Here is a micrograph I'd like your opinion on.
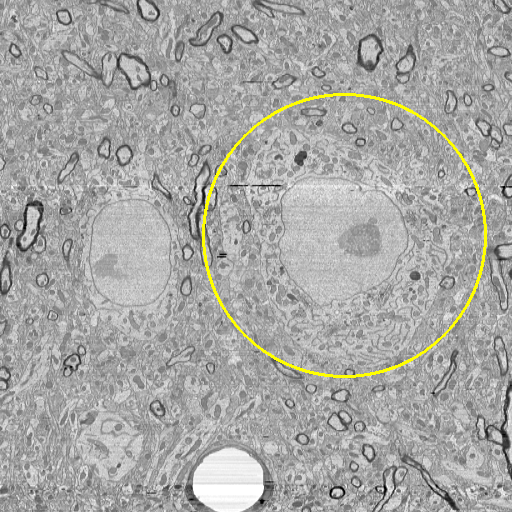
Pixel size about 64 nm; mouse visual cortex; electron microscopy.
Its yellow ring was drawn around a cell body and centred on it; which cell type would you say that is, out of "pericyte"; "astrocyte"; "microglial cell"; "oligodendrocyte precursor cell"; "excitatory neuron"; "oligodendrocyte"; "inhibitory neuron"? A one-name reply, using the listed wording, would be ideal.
inhibitory neuron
